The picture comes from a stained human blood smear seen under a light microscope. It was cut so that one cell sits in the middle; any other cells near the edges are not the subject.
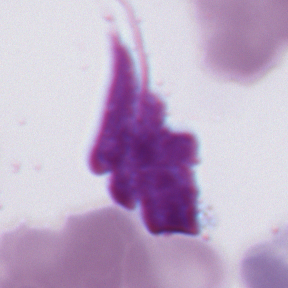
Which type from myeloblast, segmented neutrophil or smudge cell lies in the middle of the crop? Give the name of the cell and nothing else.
smudge cell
